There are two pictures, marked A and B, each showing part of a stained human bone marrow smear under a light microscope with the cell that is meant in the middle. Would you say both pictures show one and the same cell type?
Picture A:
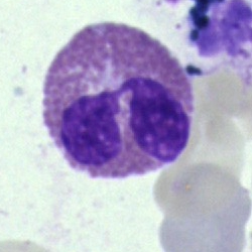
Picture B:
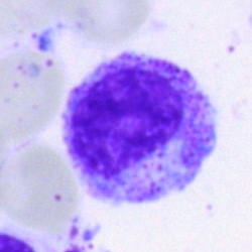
no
